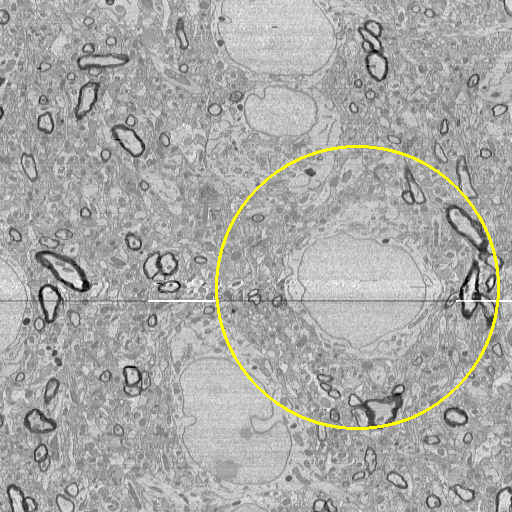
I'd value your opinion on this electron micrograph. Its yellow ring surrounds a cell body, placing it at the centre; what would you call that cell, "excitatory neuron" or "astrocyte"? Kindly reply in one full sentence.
It is an excitatory neuron that sits centred within the yellow ring in this micrograph.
